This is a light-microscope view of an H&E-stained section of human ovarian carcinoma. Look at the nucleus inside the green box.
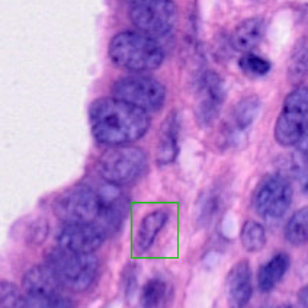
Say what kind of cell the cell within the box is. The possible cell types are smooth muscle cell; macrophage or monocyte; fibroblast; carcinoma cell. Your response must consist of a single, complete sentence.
In the tissue under study, the cell within the box is a macrophage or monocyte.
